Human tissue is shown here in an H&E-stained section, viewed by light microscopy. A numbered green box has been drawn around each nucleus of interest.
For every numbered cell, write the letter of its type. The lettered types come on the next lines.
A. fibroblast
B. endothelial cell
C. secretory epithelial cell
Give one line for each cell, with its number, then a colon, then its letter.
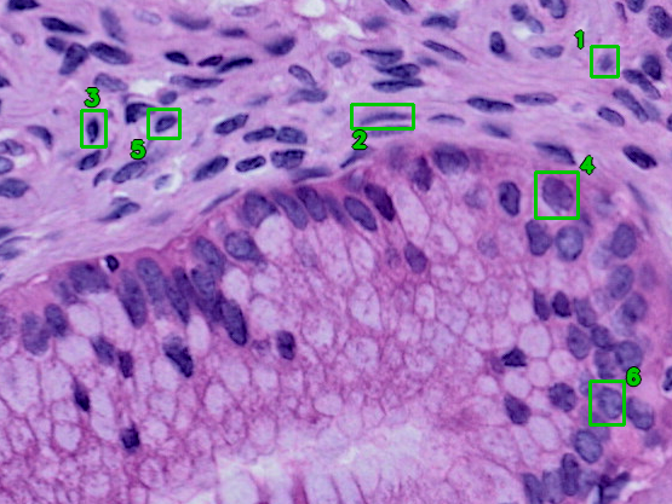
1: A
2: A
3: A
4: C
5: A
6: C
